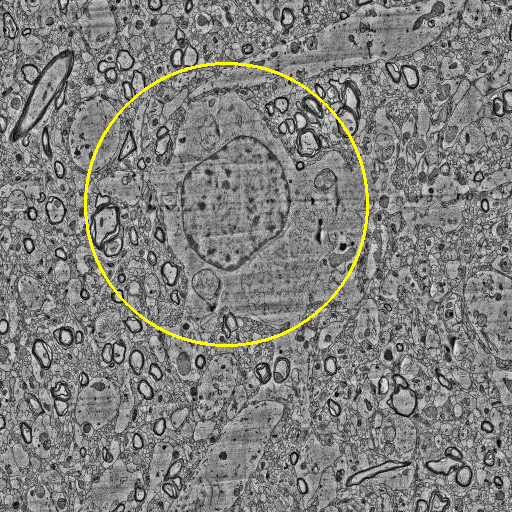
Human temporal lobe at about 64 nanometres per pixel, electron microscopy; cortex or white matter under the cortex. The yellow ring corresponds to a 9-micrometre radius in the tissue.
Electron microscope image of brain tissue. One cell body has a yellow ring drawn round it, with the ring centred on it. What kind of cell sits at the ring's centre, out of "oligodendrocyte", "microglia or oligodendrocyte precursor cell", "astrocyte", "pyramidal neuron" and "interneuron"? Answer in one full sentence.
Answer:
It is an astrocyte whose cell body sits at the centre of the yellow ring.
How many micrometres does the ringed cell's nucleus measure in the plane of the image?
In this plane the nucleus spans approximately 9 by 7 micrometers.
